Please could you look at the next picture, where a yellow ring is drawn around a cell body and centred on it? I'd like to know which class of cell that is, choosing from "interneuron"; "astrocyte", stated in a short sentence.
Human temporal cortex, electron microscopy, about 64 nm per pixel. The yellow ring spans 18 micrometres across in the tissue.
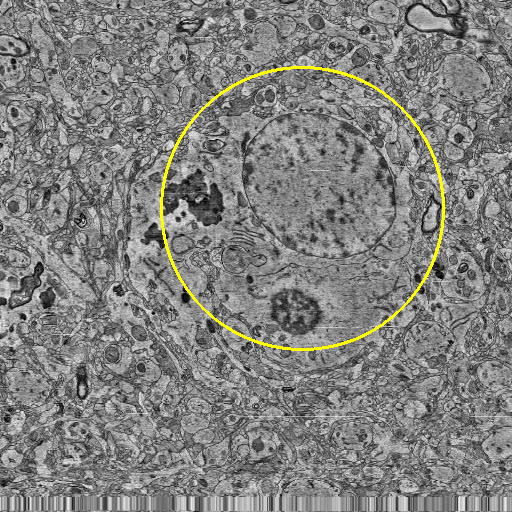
The ring's centre lies on an astrocyte.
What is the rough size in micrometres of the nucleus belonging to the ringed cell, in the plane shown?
In this plane the nucleus is about 11 micrometres by 9.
